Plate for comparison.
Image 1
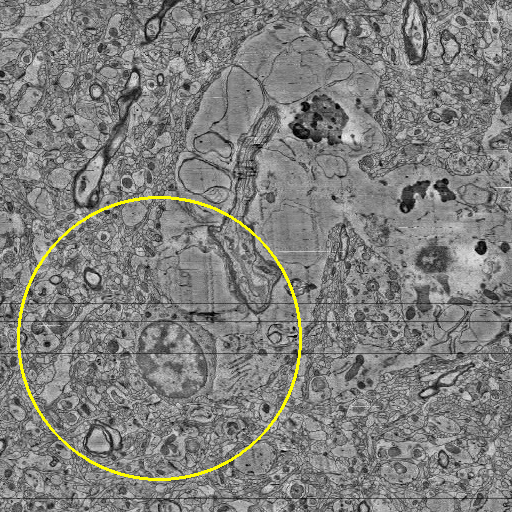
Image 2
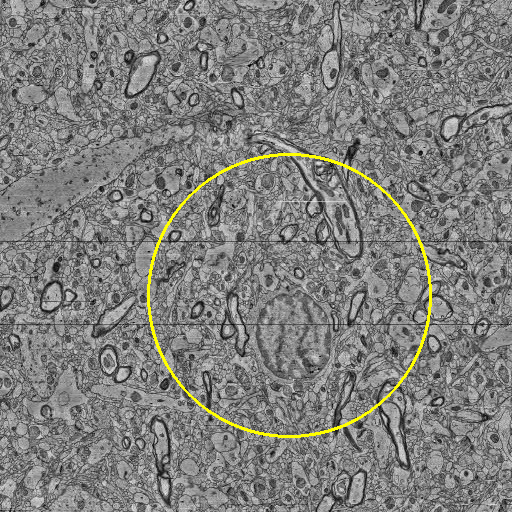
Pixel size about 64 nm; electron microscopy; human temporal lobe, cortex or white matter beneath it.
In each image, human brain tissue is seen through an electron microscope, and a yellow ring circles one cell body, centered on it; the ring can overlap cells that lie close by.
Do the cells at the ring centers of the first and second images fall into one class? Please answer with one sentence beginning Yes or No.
Yes, the first and second images show a single class of cell at the ring centers.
